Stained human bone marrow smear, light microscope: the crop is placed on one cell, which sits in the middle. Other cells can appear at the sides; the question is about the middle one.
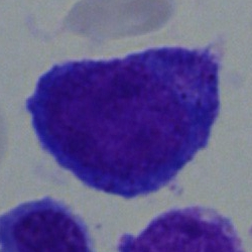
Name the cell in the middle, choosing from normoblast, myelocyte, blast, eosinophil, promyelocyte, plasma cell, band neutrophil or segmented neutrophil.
promyelocyte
